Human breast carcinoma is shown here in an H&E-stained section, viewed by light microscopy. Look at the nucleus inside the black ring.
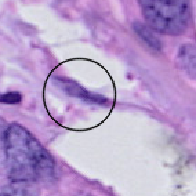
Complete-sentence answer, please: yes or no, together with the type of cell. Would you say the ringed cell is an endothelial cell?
No, the ringed cell counts as a fibroblast, not an endothelial cell.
